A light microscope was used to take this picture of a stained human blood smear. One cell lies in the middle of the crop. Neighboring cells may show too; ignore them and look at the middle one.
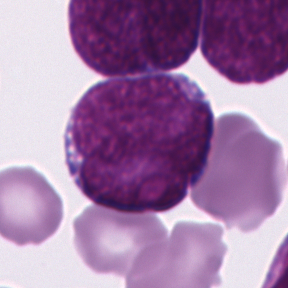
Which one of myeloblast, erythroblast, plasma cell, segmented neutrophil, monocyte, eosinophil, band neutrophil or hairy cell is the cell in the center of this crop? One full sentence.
What the crop centres on is a myeloblast.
